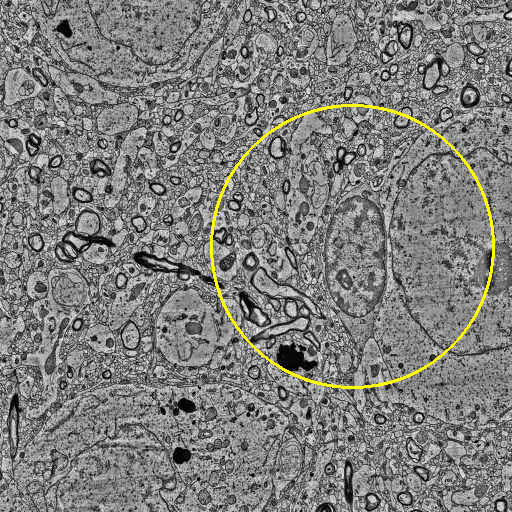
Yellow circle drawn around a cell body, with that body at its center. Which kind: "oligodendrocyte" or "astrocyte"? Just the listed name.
oligodendrocyte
